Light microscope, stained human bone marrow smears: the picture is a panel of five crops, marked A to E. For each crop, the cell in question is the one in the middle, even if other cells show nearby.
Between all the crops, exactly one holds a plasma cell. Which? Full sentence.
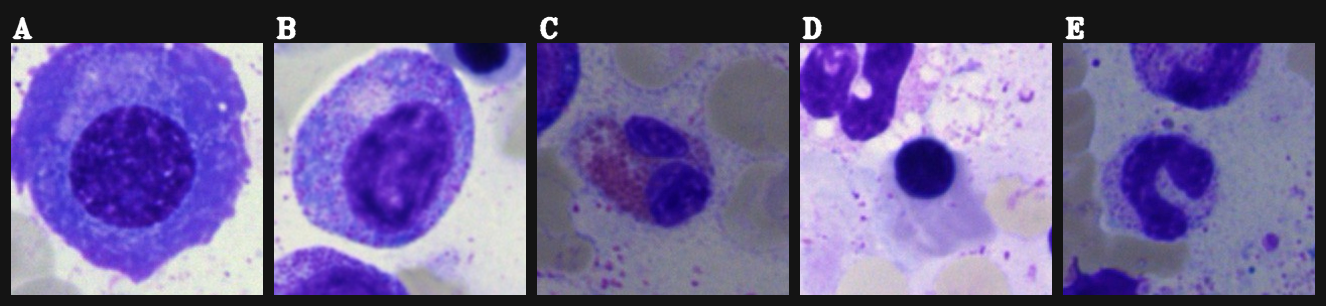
When the crops are compared, crop A is the one showing a plasma cell.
